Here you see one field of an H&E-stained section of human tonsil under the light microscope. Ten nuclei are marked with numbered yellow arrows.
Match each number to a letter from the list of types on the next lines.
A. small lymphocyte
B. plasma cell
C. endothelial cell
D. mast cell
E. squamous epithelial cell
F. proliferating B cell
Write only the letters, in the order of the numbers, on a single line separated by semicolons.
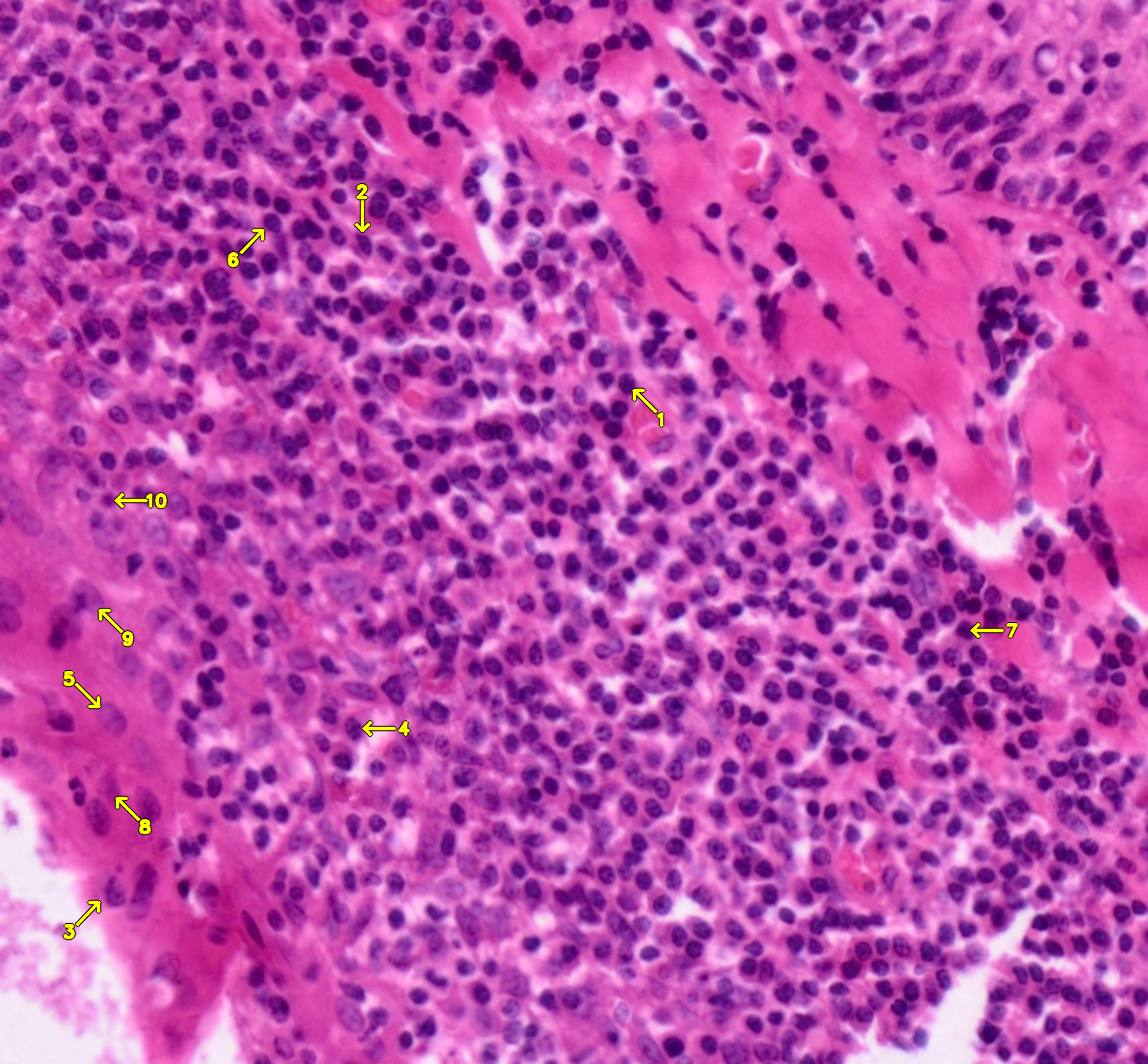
B; B; E; B; E; B; B; E; E; E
